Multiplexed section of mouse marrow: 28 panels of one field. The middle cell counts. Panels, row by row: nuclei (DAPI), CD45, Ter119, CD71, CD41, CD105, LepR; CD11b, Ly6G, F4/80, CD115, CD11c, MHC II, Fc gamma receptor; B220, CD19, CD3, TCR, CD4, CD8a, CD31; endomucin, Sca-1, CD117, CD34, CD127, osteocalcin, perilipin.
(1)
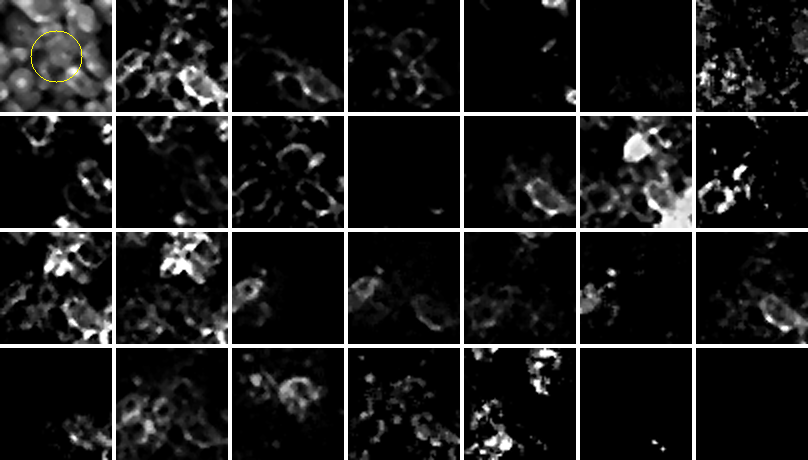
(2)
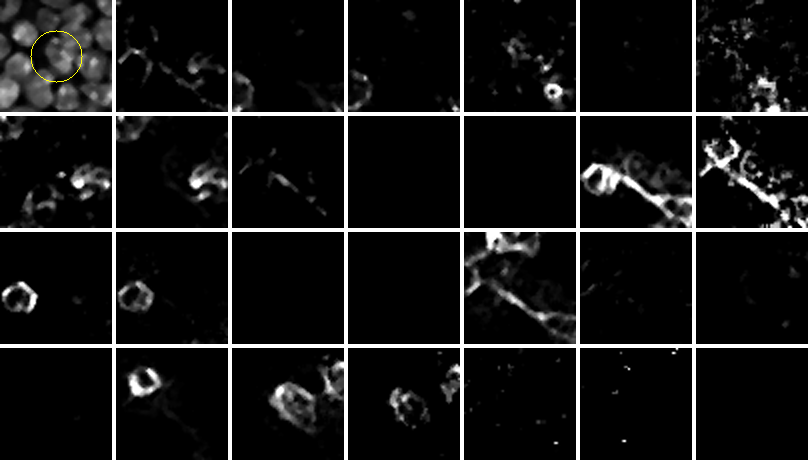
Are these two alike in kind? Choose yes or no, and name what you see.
No. First a megakaryocyte-erythroid progenitor, second a granulocyte-monocyte progenitor.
